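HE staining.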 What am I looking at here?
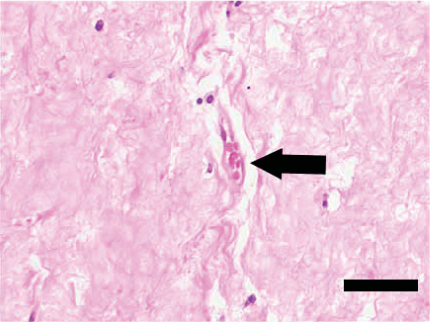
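This is pale pink collagen tissue with very few cells. Running through the middle is a narrow, elongated blood vessel whose wall carries slender, dark purple nuclei, while the surrounding fibrous tissue holds only a handful of small scattered nuclei.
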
